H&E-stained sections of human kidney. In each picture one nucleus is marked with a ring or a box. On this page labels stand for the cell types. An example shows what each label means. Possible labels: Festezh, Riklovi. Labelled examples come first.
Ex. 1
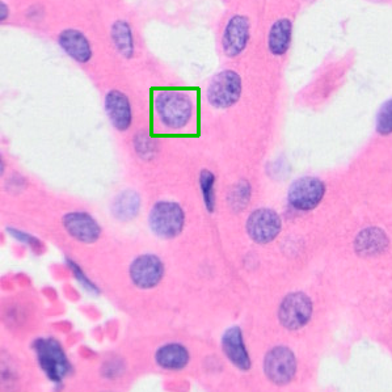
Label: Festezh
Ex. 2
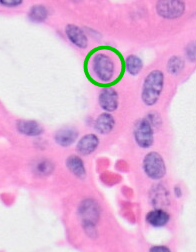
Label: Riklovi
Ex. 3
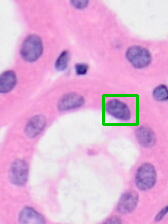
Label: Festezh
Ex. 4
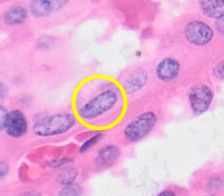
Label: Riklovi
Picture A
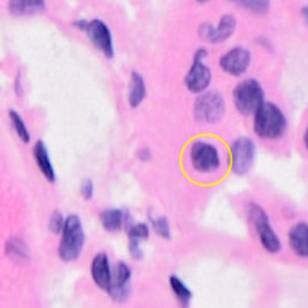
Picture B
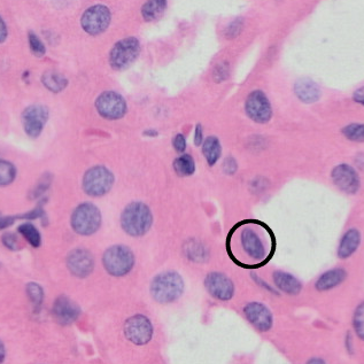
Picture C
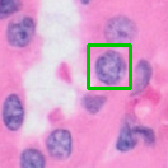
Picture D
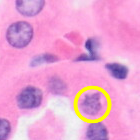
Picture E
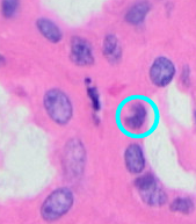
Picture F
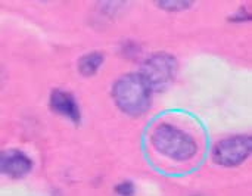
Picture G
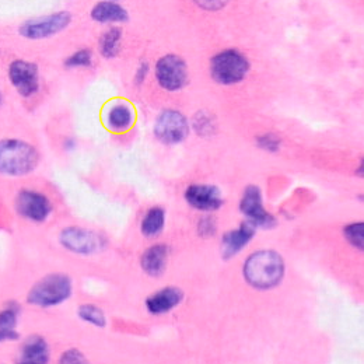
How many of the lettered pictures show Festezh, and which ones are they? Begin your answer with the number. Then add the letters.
Count: 6 (B, C, D, E, F, G)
